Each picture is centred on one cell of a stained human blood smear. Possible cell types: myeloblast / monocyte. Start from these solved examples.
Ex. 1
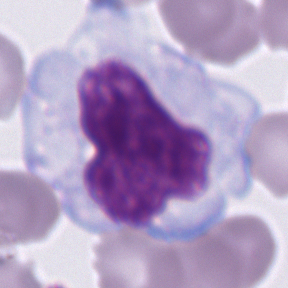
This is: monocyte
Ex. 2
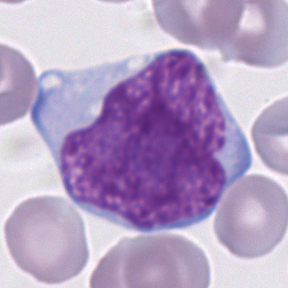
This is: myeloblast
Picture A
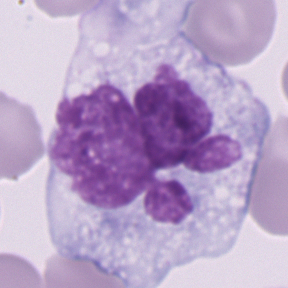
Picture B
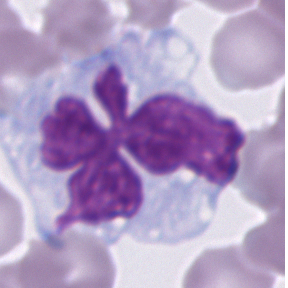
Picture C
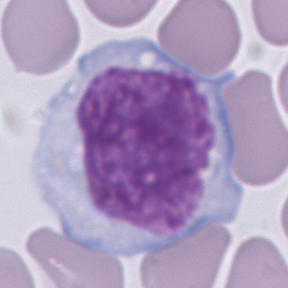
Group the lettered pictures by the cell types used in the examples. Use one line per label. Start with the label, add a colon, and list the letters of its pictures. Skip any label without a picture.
myeloblast: C
monocyte: A, B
